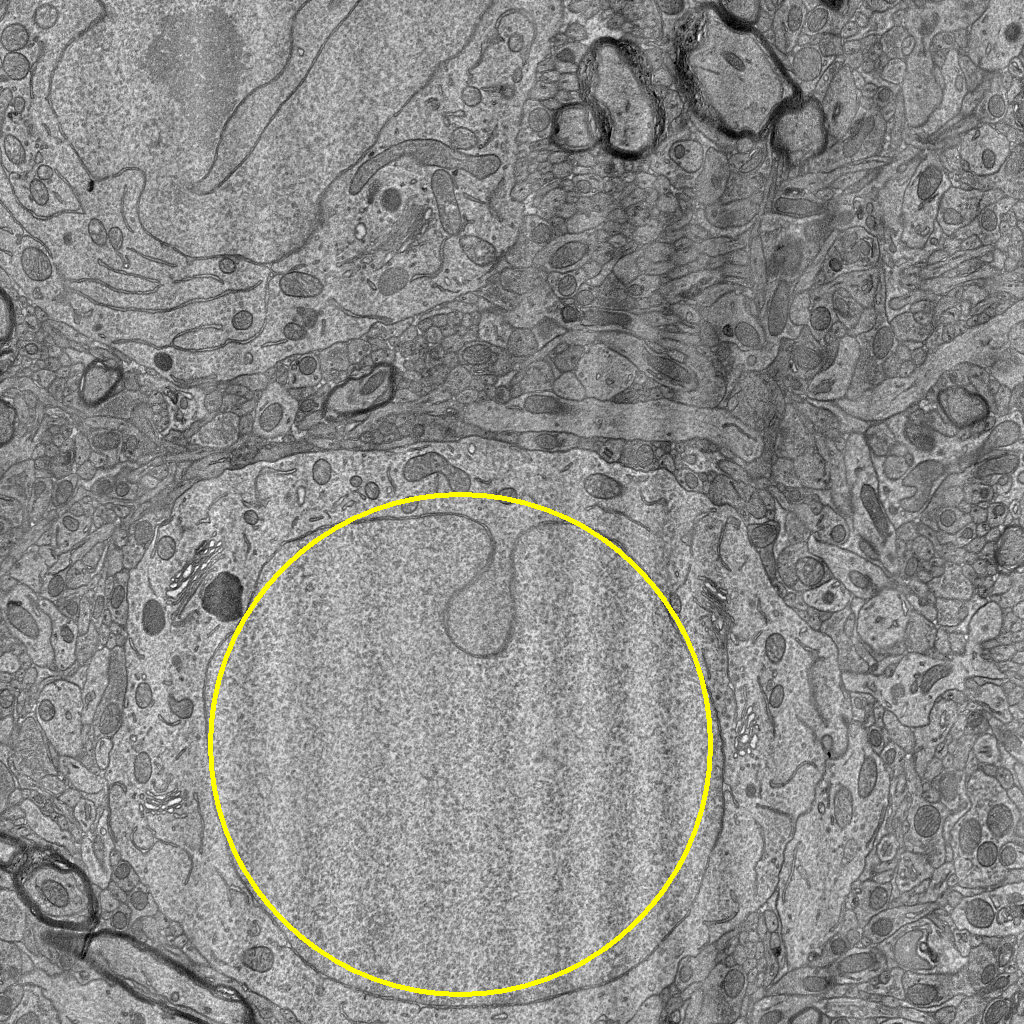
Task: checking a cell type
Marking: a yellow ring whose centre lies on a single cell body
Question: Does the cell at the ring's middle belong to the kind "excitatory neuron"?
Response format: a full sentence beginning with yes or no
Yes, the cell marked at the ring's centre in the picture is of that kind.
